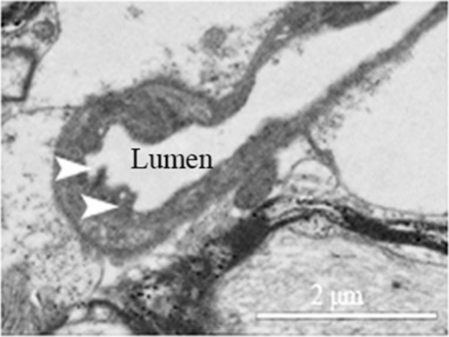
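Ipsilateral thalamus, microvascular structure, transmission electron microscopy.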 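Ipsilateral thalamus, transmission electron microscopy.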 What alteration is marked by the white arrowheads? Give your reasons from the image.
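The arrowheads point at the edge of the cell layer lining an irregular lumen. At these points the lining is broken into small irregular projections rather than a smooth continuous contact.
Damaged tight junctions.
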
